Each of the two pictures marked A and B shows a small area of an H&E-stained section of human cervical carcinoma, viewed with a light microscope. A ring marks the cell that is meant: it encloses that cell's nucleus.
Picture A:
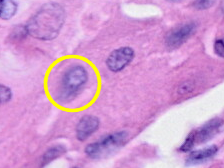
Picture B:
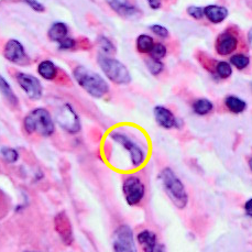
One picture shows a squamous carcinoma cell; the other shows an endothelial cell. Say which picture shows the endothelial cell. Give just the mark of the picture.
B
